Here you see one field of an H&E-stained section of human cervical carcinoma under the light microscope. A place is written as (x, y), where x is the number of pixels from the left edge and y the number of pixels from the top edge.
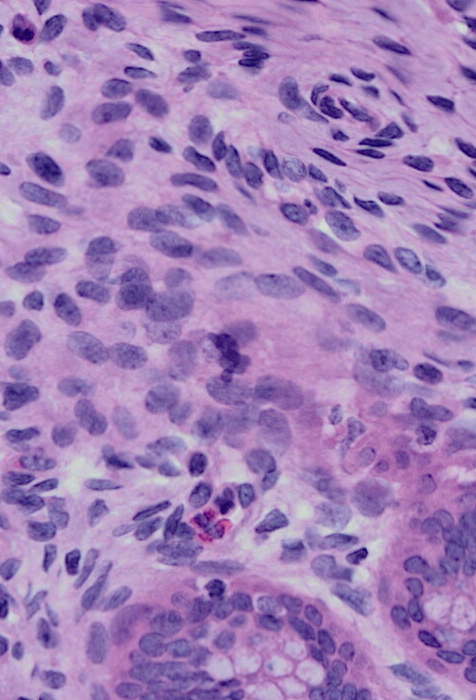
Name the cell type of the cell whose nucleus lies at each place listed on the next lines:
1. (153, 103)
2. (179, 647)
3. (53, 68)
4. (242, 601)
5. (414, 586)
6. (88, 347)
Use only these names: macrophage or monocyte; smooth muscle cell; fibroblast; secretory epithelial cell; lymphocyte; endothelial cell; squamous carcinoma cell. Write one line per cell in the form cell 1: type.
cell 1: fibroblast
cell 2: secretory epithelial cell
cell 3: fibroblast
cell 4: secretory epithelial cell
cell 5: secretory epithelial cell
cell 6: fibroblast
